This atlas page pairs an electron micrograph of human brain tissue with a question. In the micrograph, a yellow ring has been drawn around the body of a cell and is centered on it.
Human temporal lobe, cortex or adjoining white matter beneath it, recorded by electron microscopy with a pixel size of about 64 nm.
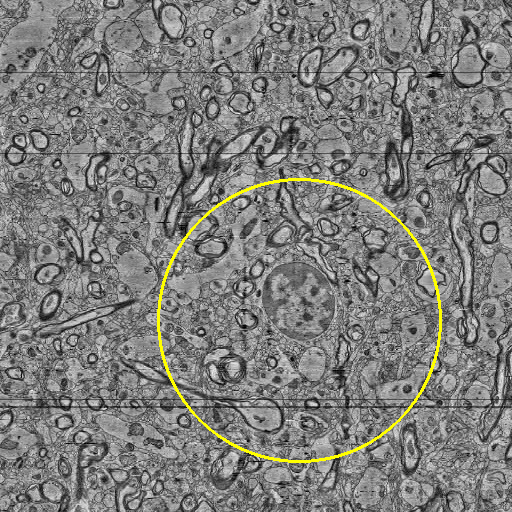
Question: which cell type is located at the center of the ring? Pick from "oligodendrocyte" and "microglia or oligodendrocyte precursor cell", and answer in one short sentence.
Located at the center of the ring is a microglial cell or oligodendrocyte precursor cell.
